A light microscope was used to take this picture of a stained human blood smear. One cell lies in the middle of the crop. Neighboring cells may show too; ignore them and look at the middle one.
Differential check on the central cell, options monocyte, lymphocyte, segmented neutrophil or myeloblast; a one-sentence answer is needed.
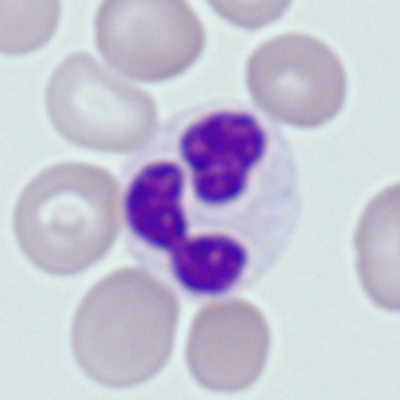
In the center of this field lies a segmented neutrophil.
